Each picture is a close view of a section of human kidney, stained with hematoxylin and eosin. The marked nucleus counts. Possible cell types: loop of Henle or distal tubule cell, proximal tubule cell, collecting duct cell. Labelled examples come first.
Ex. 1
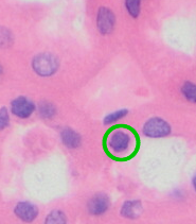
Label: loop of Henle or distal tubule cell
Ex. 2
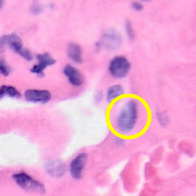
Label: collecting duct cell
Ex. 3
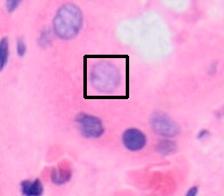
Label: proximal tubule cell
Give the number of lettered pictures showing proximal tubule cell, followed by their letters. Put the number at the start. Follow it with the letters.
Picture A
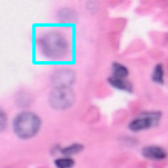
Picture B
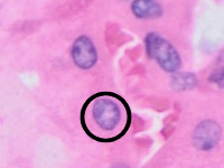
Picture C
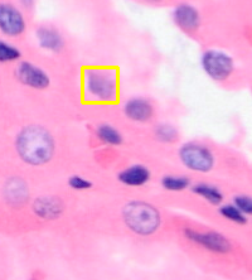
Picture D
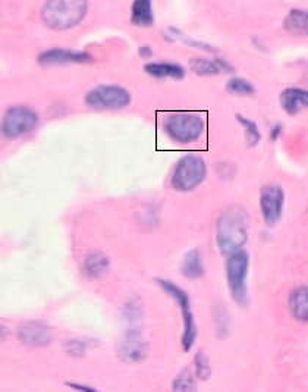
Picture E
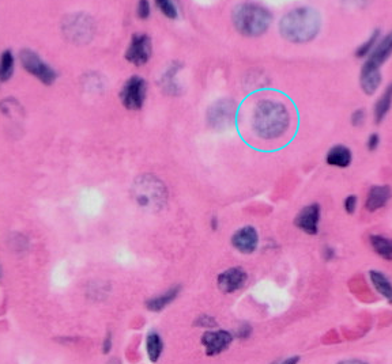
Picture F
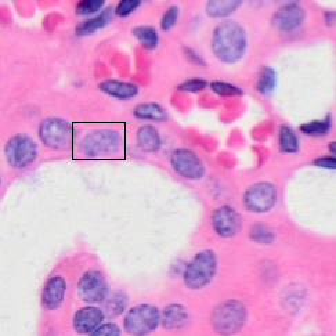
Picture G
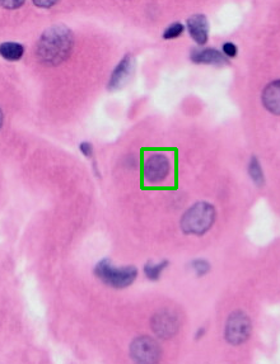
Count: 2 (B, G)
